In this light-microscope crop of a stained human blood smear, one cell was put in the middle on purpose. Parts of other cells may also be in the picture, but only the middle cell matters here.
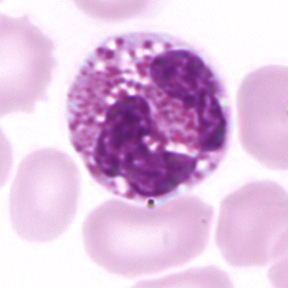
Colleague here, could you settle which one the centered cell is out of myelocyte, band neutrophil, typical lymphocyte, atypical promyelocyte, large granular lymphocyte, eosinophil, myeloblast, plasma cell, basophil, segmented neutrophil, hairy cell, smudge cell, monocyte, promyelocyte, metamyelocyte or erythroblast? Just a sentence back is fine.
The cell nearest the centre of this crop is an eosinophil.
